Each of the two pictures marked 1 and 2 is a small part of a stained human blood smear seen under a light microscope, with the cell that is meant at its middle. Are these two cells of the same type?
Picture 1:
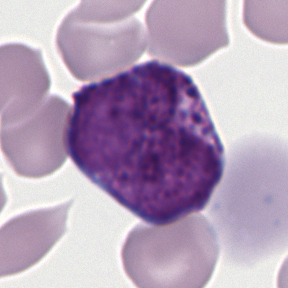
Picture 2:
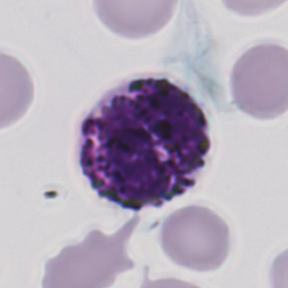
yes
